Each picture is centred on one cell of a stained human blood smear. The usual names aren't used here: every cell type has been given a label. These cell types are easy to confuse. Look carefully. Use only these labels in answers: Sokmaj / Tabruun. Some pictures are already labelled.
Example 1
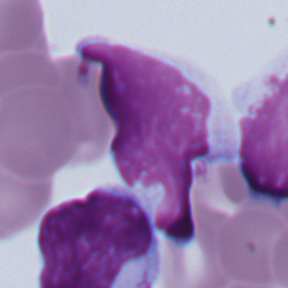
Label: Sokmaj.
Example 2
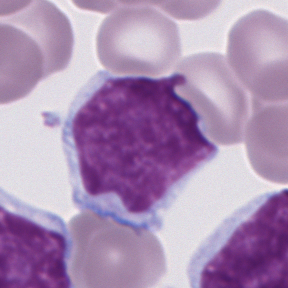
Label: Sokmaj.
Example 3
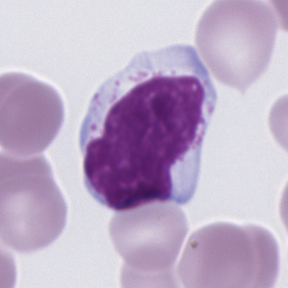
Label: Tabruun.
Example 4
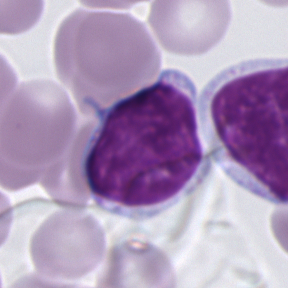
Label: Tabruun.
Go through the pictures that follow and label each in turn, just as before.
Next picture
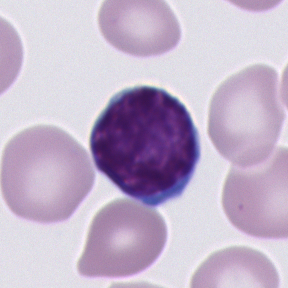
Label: Sokmaj.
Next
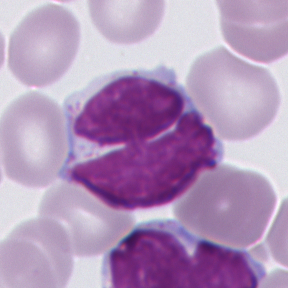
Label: Tabruun.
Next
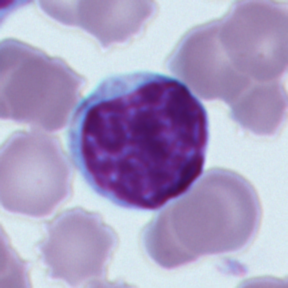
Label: Sokmaj.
